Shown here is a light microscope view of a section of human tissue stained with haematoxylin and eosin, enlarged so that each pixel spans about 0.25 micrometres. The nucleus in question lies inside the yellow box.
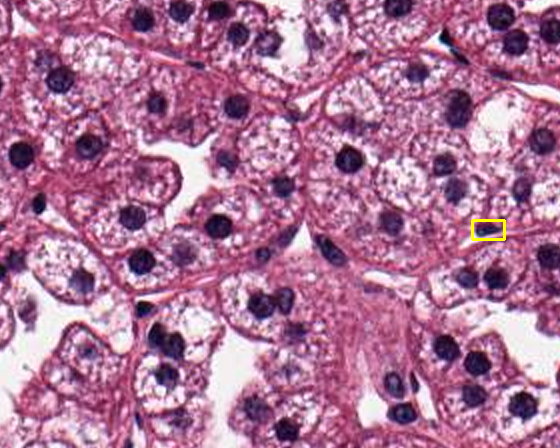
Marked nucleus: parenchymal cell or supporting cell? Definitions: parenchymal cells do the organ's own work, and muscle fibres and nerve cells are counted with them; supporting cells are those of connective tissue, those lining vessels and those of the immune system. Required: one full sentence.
A supporting cell is the cell whose nucleus is marked.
